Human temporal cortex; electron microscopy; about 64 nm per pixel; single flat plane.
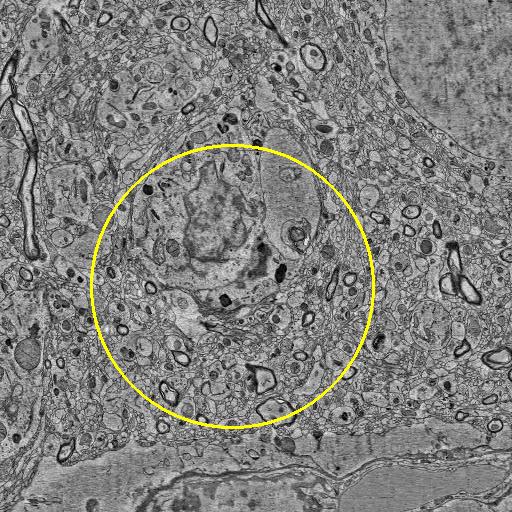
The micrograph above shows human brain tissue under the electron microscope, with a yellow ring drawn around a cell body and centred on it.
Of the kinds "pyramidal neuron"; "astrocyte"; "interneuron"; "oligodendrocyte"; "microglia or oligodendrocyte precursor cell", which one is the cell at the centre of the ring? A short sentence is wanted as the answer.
The one at the centre of the ring is a microglial cell or oligodendrocyte precursor cell.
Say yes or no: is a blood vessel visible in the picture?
Yes, one shows.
